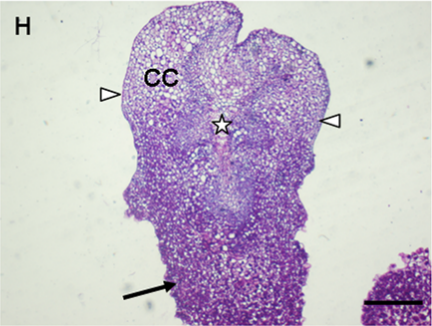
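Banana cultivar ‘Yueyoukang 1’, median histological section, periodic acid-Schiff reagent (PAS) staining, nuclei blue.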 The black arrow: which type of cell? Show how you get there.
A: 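The basal part is densely stained dark pink-purple. Its cells are small and packed with stained material.
Starch-rich cells.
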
